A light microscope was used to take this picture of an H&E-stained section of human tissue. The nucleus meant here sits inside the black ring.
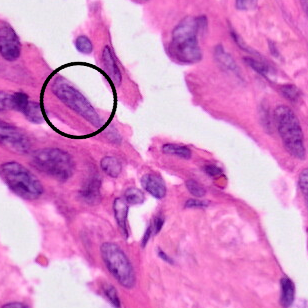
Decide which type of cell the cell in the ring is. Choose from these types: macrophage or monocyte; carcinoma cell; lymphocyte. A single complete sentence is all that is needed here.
In the tissue under study, the cell in the ring is a carcinoma cell.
